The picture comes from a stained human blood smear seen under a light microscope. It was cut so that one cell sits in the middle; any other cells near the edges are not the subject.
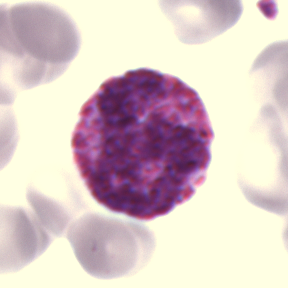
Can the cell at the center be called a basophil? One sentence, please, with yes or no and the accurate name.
Yes, the cell found at the centre of the crop is a basophil.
